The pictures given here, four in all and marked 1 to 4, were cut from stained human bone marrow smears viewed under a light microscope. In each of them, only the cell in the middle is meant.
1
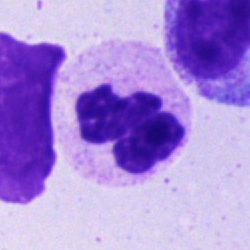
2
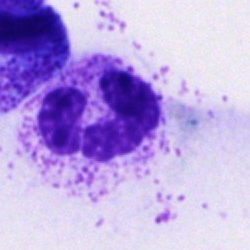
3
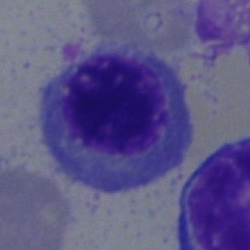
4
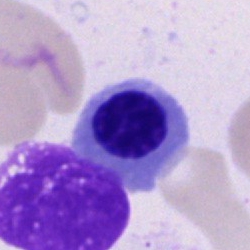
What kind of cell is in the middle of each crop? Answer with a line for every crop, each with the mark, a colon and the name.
1: segmented neutrophil
2: segmented neutrophil
3: erythroblast
4: erythroblast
